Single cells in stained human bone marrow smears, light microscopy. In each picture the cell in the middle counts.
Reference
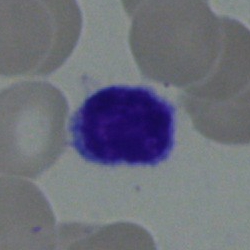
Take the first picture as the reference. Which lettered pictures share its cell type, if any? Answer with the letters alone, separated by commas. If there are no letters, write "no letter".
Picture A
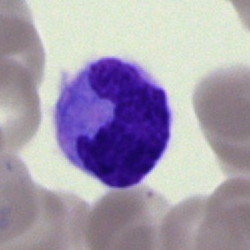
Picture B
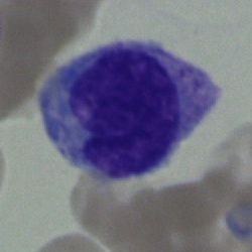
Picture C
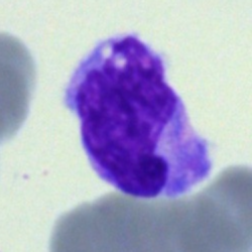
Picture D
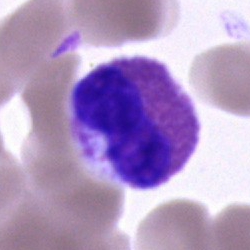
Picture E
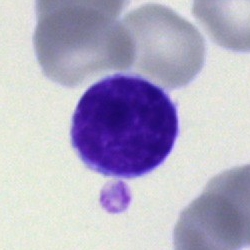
E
